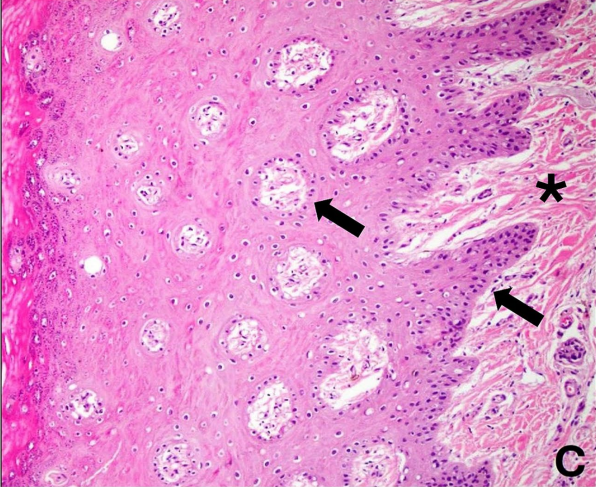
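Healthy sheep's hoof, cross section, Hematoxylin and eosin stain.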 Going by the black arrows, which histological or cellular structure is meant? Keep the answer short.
dermal papillae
